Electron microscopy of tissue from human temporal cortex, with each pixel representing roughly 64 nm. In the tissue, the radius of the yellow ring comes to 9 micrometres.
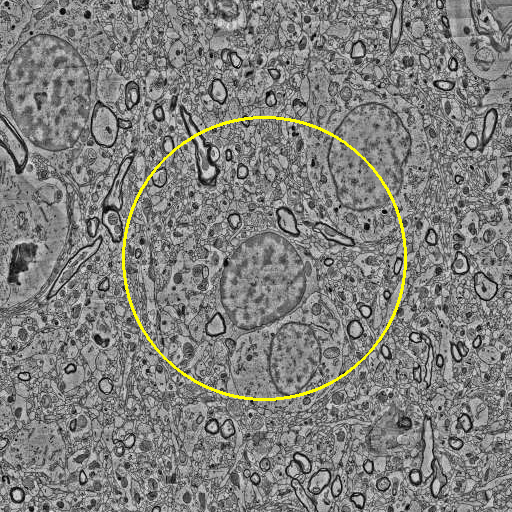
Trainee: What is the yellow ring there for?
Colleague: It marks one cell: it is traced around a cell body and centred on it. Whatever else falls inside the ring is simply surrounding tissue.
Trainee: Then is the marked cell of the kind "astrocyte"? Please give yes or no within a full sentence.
No, the marked cell at the centre of the yellow ring is of a different kind.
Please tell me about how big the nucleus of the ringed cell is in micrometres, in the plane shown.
The nucleus of the ringed cell is approximately 6 by 5 micrometres in this plane.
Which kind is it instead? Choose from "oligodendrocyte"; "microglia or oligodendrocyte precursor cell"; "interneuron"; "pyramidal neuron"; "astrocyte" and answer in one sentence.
The cell ringed in the picture is an oligodendrocyte.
